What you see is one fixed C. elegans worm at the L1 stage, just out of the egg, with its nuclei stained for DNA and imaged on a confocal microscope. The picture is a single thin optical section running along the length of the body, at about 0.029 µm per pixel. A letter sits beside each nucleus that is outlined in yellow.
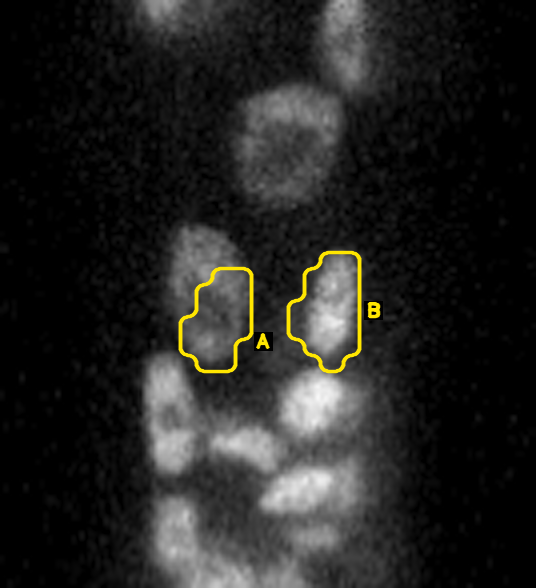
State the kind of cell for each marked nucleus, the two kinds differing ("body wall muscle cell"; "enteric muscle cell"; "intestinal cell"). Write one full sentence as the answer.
A is from an intestinal cell, and B is from an enteric muscle cell.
